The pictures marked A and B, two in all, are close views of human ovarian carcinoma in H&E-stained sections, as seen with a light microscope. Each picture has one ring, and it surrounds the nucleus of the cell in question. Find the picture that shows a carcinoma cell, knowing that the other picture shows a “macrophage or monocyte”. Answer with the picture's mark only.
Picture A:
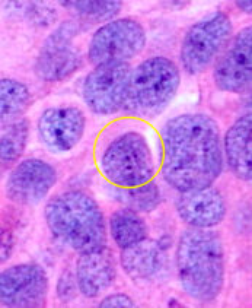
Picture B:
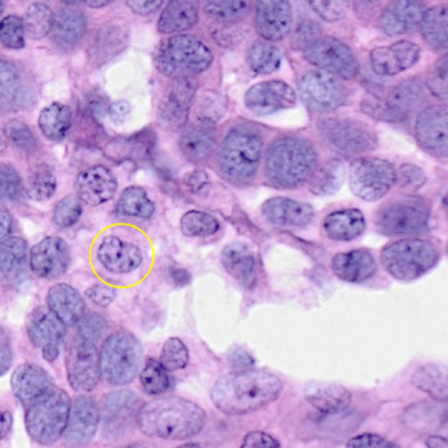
A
